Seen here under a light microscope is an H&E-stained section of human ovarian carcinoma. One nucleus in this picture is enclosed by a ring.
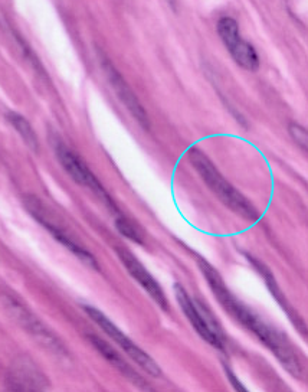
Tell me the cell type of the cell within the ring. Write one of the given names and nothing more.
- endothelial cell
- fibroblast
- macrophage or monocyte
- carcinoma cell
fibroblast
